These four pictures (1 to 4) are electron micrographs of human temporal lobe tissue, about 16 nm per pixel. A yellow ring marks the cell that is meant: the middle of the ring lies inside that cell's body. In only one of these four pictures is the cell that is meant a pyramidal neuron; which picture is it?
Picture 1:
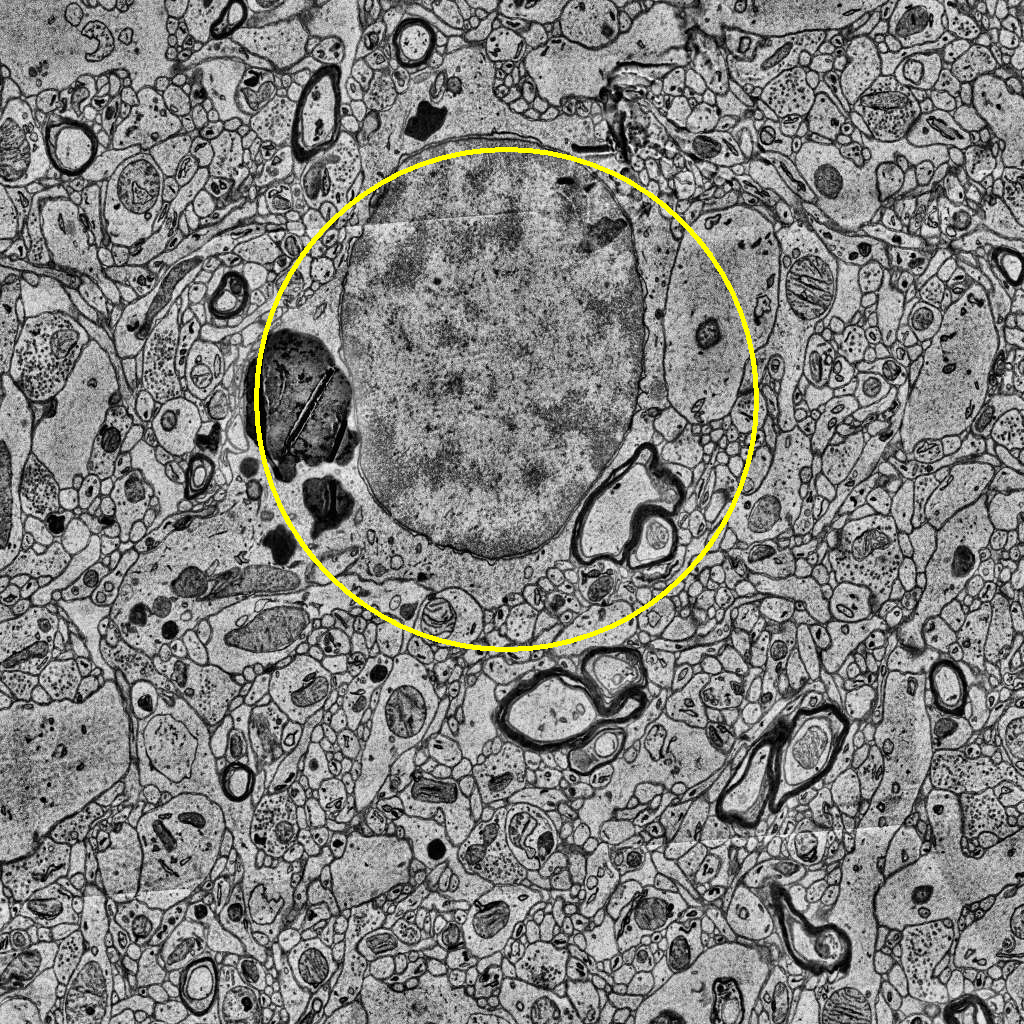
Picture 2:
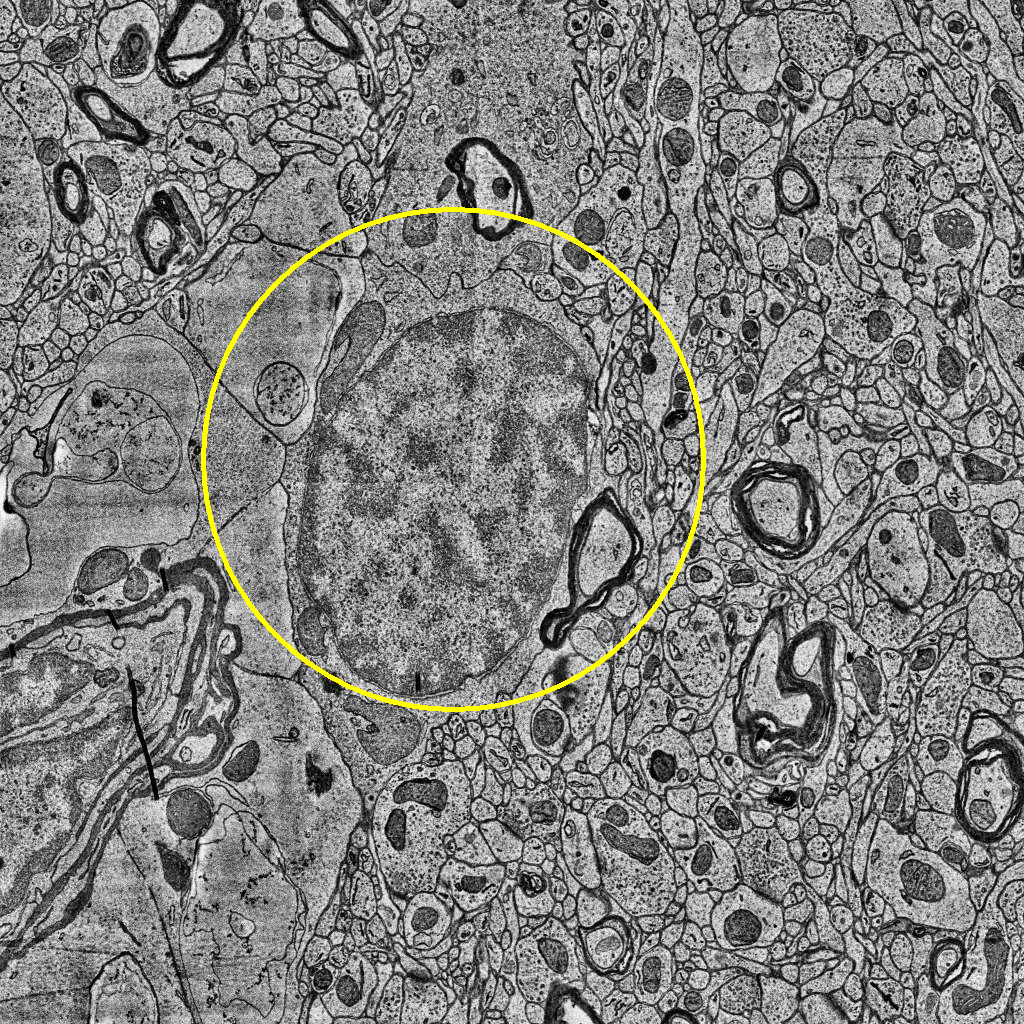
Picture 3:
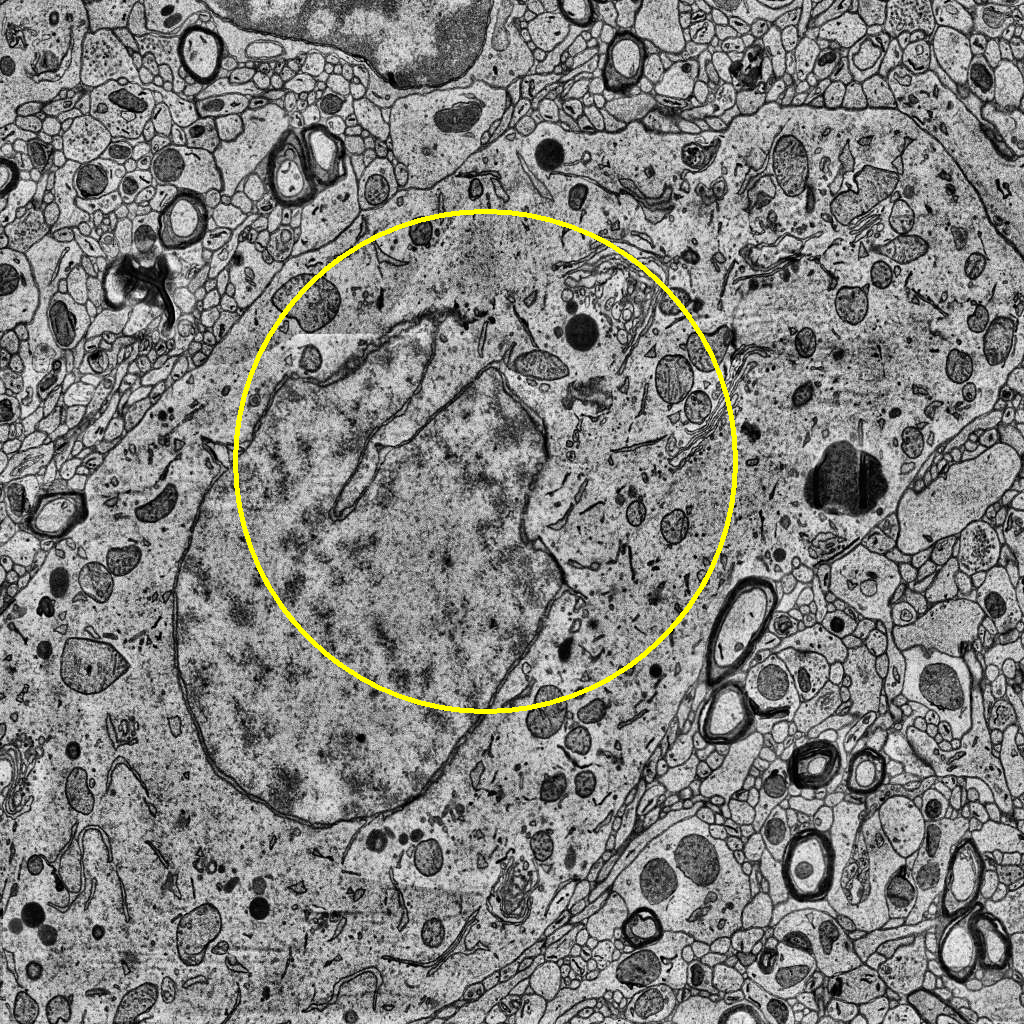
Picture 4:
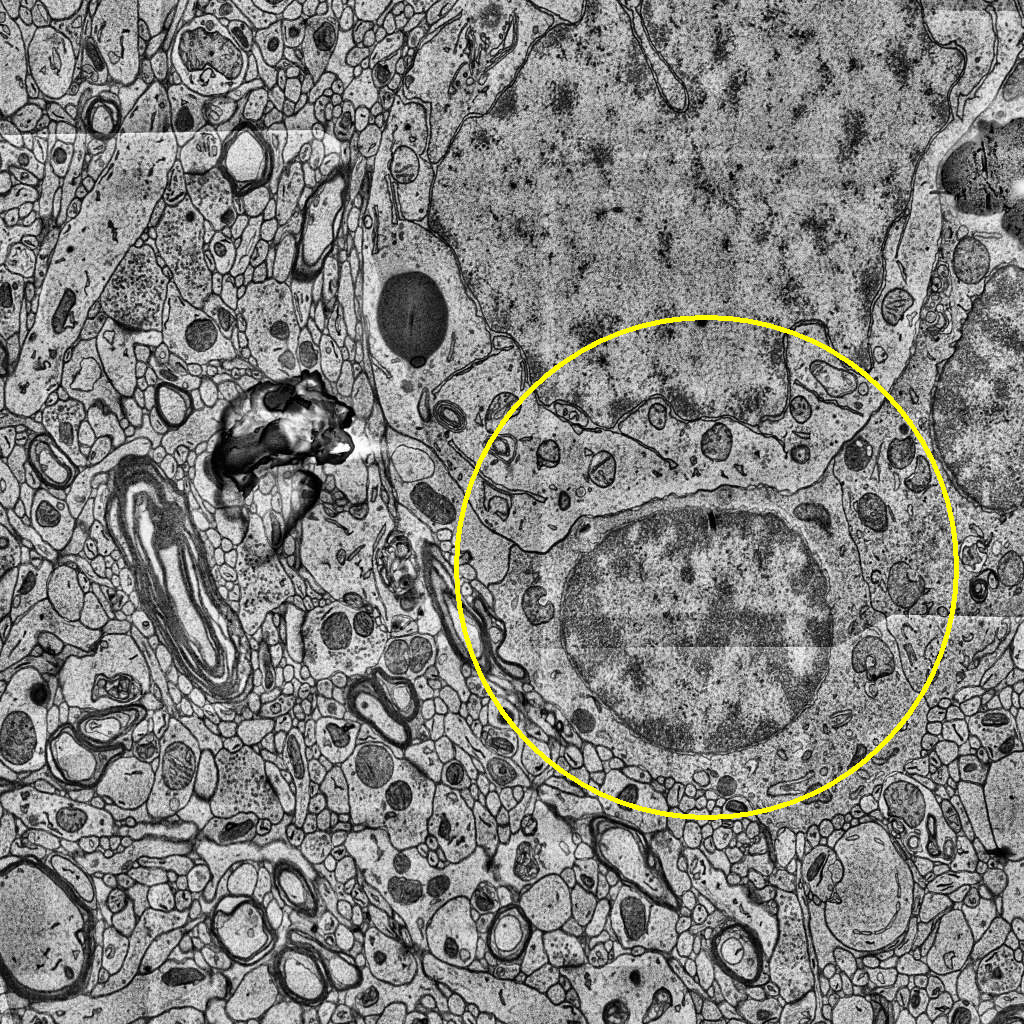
The picture with the pyramidal neuron is 3.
